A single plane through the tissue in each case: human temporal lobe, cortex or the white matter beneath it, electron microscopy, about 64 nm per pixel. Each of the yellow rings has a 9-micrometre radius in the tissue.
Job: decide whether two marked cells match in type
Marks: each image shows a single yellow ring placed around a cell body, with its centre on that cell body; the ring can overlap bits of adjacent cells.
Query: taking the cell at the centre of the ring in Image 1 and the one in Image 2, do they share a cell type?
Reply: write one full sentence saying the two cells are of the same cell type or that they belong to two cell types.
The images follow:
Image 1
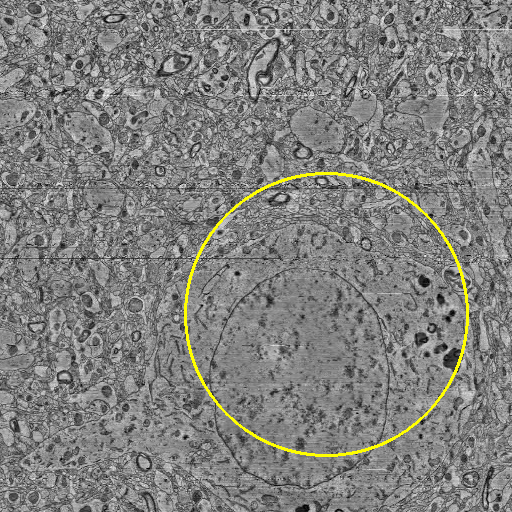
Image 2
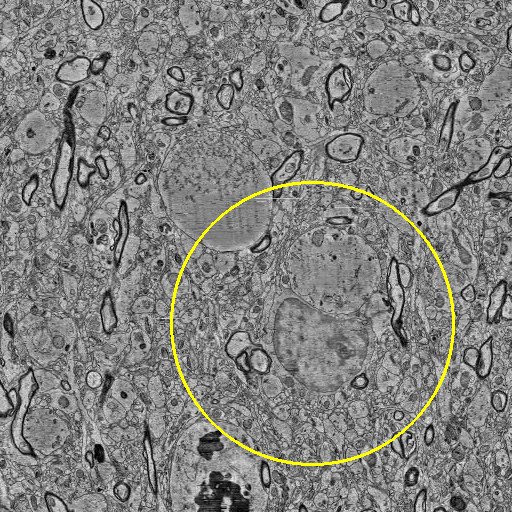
The cells at the ring centres in Image 1 and Image 2 belong to two cell types.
